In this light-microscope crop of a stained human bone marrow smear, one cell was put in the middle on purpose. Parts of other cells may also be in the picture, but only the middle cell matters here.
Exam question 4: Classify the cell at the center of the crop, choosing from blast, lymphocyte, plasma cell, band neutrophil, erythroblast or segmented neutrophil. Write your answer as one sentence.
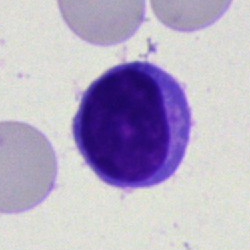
By type, the central cell of the crop is a lymphocyte.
